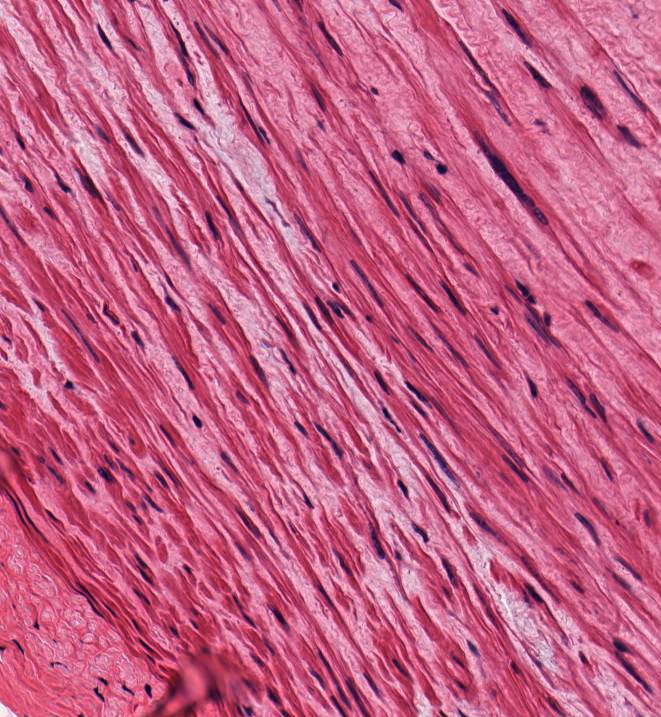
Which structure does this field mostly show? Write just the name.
nerve fascicle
